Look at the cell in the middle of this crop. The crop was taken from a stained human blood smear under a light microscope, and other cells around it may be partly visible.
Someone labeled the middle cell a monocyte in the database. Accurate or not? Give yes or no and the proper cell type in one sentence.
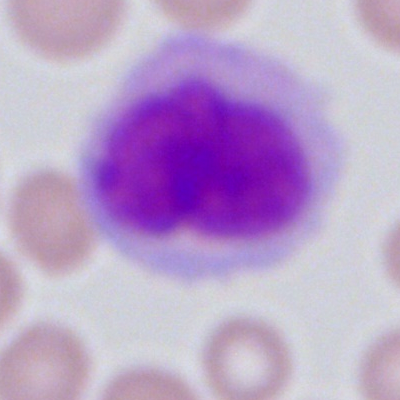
Yes, the cell at the middle is a monocyte.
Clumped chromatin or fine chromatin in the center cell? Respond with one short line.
Heads up, the chromatin is fine with no coarse clumps in it.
